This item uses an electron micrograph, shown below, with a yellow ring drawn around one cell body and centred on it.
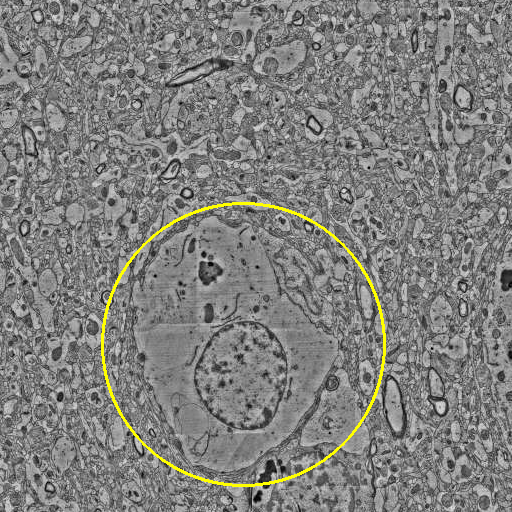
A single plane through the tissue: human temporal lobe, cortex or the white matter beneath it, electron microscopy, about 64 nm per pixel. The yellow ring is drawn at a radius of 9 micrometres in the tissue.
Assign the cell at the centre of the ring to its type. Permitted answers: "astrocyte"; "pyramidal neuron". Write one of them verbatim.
astrocyte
